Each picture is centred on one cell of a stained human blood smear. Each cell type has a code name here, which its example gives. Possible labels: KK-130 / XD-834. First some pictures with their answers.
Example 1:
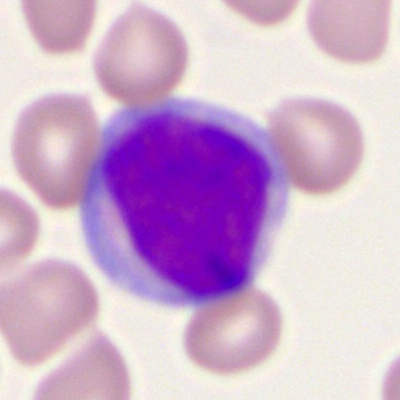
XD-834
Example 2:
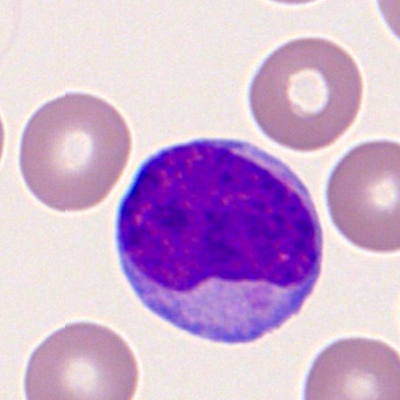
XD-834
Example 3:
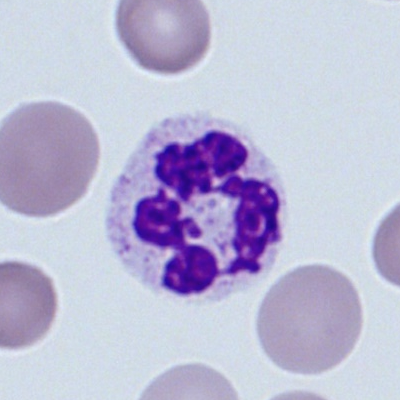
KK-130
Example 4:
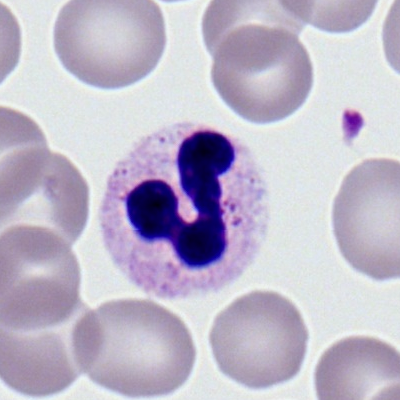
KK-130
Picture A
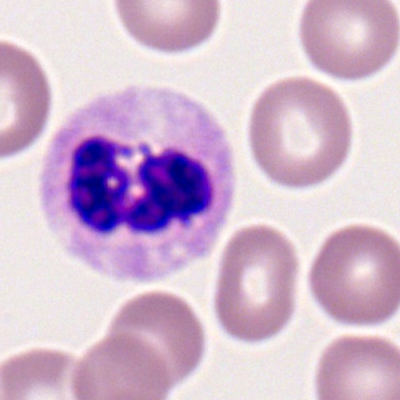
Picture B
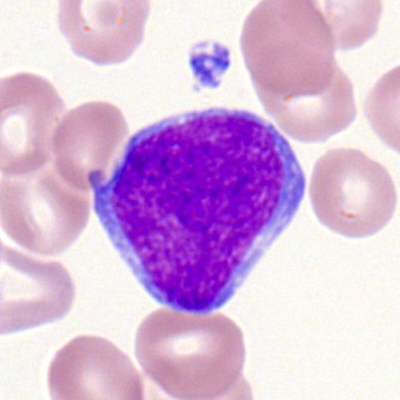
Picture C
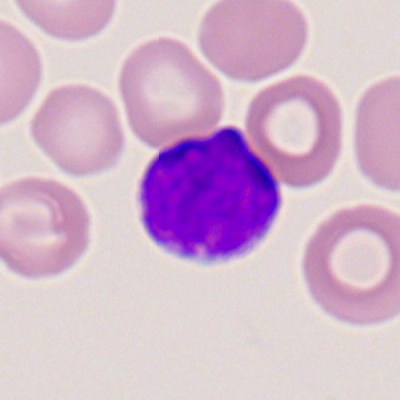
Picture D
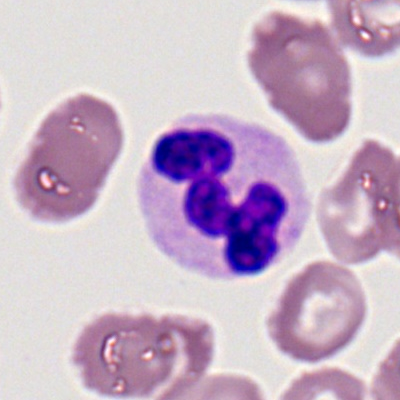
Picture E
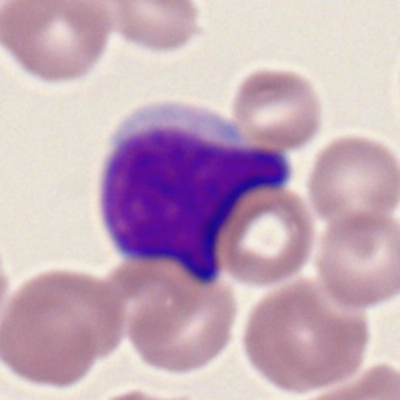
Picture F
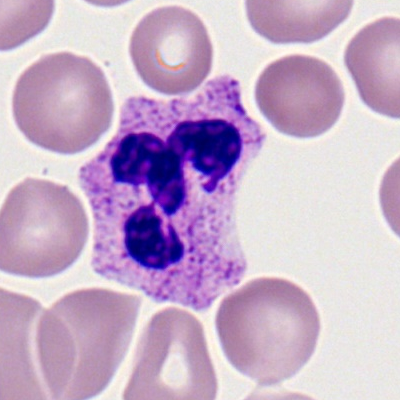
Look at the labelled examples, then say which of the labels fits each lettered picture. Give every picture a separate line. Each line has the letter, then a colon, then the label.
A: KK-130
B: XD-834
C: XD-834
D: KK-130
E: XD-834
F: KK-130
